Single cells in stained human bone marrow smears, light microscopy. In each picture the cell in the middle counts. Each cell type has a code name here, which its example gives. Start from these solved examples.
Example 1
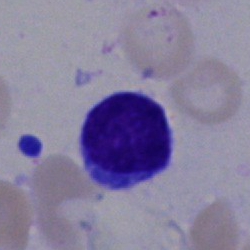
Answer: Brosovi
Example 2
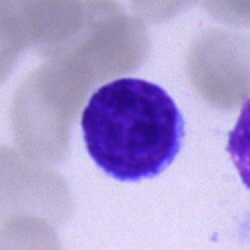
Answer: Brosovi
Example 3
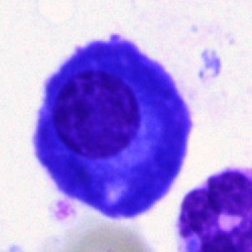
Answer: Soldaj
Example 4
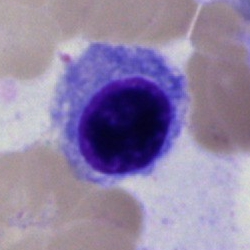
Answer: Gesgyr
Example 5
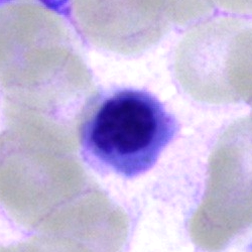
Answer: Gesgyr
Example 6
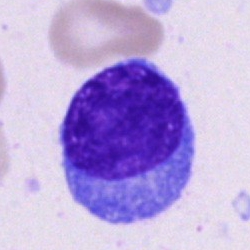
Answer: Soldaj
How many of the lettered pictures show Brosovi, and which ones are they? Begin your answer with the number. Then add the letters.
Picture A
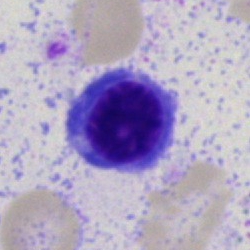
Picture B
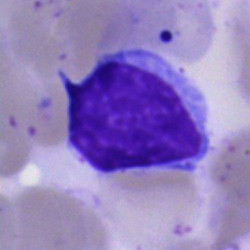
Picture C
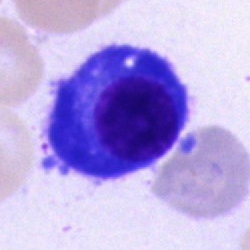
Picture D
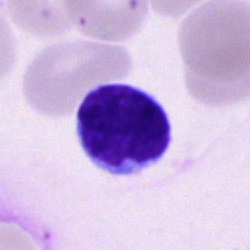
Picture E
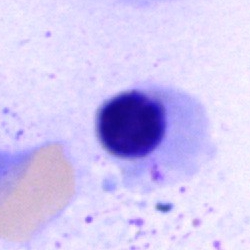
Count: 2 (B, D)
